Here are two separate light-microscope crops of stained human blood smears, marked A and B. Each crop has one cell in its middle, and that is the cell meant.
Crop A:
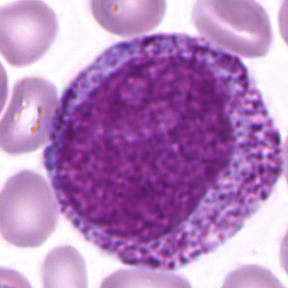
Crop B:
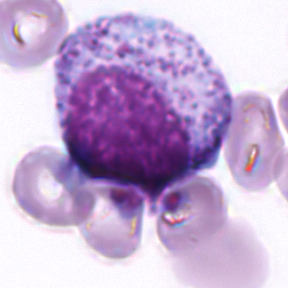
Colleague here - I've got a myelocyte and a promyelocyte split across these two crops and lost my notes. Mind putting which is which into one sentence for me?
Okay, so crop A is a promyelocyte and crop B is a myelocyte.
